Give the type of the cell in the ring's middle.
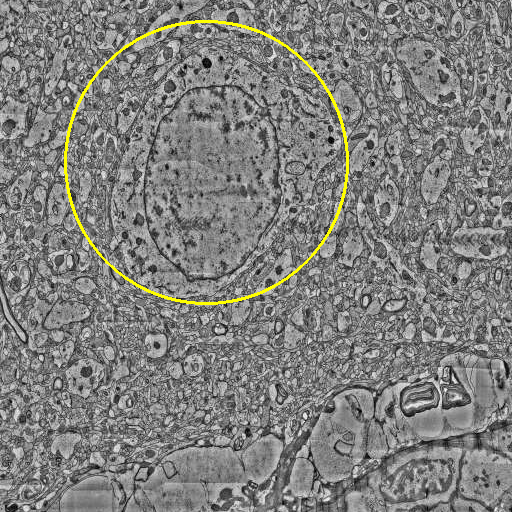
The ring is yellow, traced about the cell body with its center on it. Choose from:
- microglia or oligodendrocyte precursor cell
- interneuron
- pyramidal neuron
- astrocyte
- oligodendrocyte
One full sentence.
Here, a pyramidal neuron is the cell lying at the center of the yellow ring.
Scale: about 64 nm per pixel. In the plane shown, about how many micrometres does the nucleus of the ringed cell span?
In this plane, the nucleus of the cell at the centre of the ring measures about 13 by 9 micrometres.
